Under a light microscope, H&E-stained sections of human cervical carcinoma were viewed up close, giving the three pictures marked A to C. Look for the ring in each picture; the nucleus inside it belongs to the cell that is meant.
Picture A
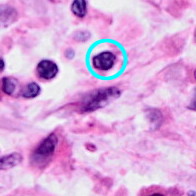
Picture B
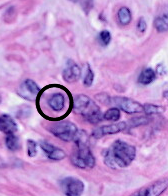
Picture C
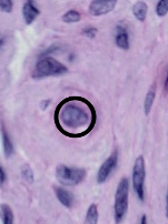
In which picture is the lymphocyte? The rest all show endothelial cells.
A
